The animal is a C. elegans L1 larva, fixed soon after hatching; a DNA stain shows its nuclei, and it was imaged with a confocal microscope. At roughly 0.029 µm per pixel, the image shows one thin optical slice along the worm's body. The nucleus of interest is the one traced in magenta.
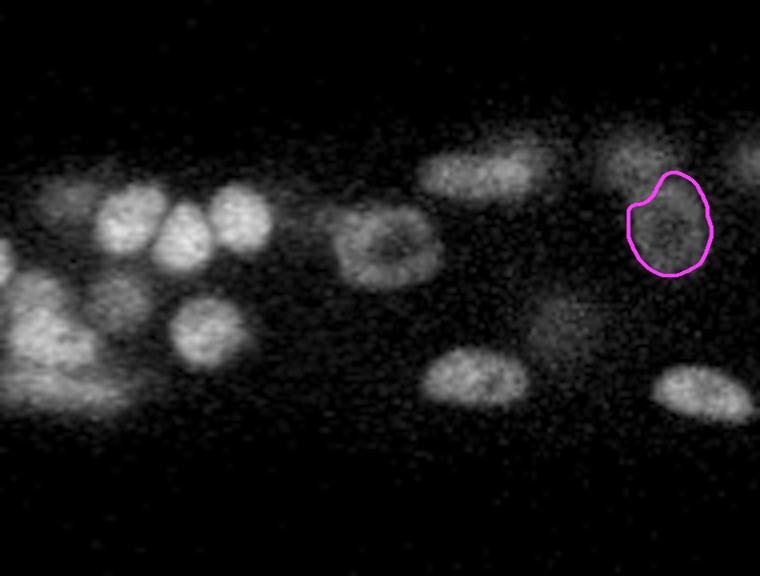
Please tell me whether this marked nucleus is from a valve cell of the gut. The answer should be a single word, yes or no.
no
